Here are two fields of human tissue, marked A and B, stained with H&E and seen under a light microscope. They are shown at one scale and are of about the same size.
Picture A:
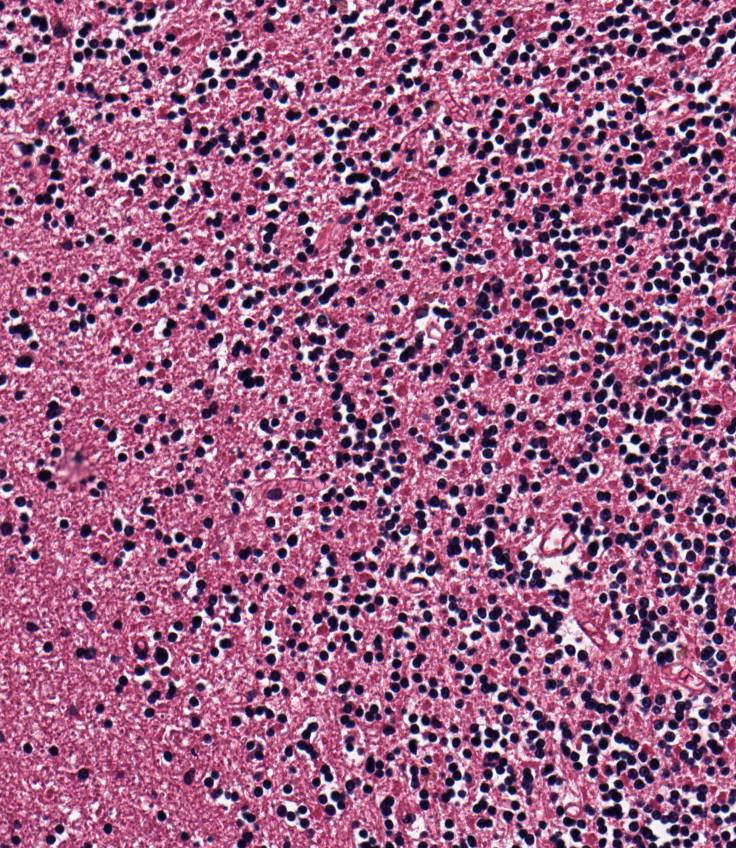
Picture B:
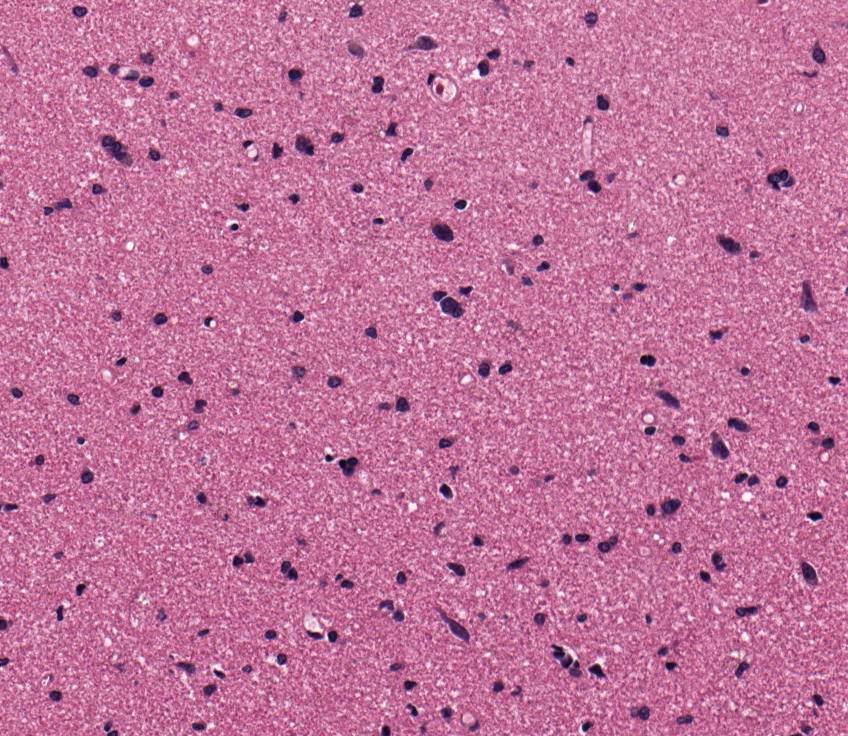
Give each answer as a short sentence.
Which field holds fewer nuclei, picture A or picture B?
It is picture B that has fewer nuclei in it.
